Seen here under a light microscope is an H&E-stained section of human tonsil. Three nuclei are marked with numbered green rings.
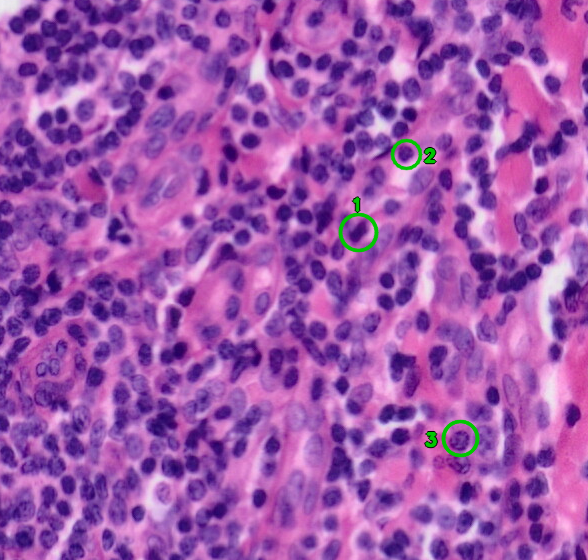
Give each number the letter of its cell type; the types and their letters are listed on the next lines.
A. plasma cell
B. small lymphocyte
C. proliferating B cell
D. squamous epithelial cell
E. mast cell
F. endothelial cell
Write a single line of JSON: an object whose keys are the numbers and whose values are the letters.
{"1": "F", "2": "F", "3": "A"}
